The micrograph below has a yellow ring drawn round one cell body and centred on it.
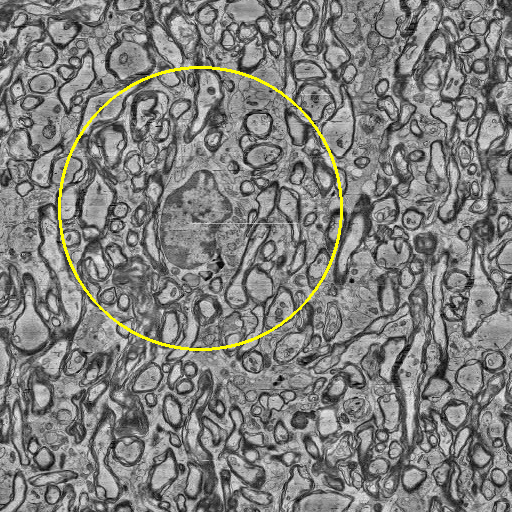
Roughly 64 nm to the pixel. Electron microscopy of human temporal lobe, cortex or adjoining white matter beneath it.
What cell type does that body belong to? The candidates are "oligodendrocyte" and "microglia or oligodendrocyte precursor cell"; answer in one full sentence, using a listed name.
This is a microglial cell or oligodendrocyte precursor cell, the cell whose body lies at the centre of the ring.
